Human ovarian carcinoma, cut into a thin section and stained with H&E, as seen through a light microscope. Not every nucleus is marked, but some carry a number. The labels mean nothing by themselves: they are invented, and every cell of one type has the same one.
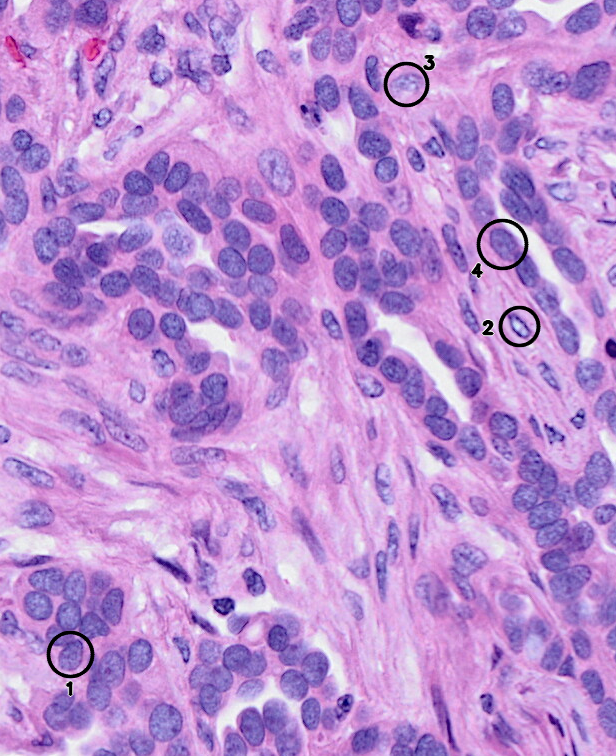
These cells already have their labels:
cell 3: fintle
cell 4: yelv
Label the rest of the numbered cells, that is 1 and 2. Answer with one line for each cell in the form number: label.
1: yelv
2: fintle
